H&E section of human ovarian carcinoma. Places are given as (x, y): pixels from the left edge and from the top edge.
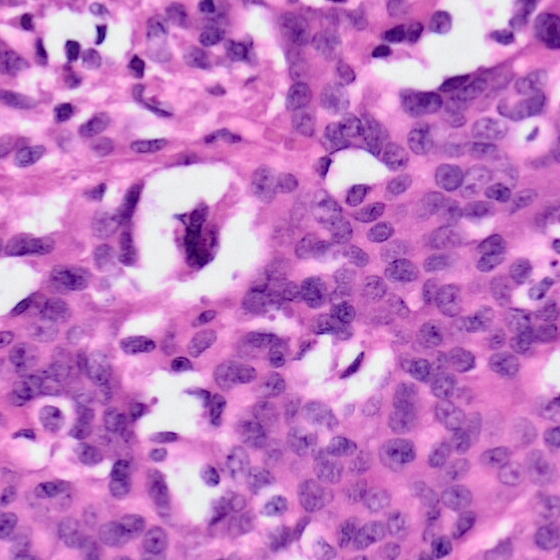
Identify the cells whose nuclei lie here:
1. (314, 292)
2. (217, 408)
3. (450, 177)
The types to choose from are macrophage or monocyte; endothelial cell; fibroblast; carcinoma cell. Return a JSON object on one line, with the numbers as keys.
{"1": "carcinoma cell", "2": "macrophage or monocyte", "3": "carcinoma cell"}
